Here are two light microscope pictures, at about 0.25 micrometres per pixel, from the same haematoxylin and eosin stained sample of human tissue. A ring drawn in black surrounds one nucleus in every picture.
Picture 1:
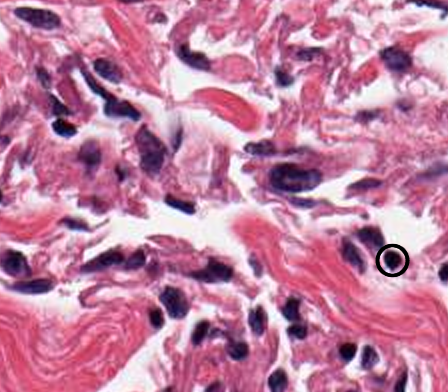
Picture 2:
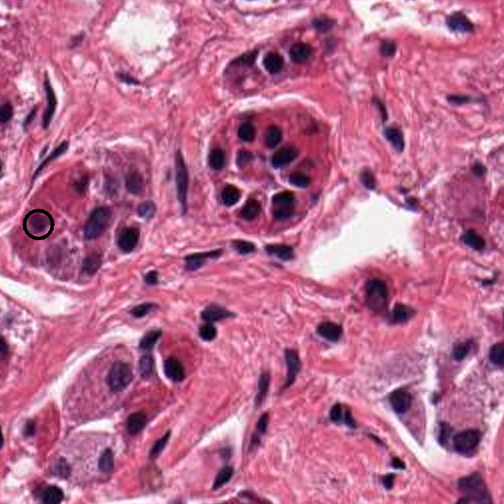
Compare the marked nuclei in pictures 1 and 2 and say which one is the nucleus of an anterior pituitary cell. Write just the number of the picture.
2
